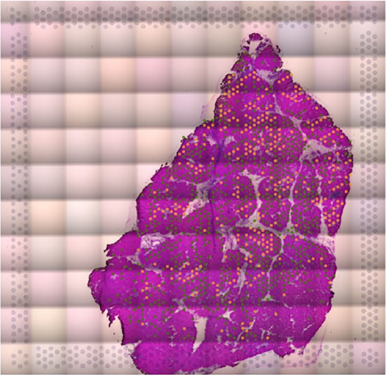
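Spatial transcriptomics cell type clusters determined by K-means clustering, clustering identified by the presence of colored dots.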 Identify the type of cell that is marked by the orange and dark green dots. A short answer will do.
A: Myofibers.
